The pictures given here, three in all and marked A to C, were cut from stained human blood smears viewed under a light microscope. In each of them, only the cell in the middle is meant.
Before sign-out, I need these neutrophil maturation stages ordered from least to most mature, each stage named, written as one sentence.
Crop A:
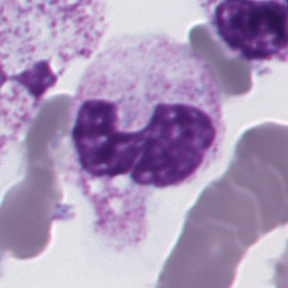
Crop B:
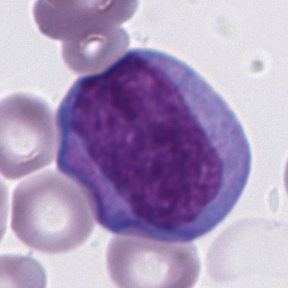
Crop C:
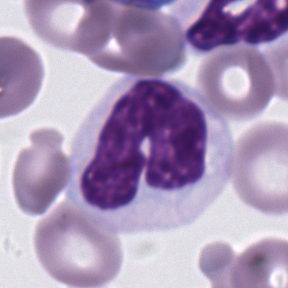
From the earliest stage to the most mature one, the order is crop B (a promyelocyte), crop C (a band neutrophil) and crop A (a segmented neutrophil).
